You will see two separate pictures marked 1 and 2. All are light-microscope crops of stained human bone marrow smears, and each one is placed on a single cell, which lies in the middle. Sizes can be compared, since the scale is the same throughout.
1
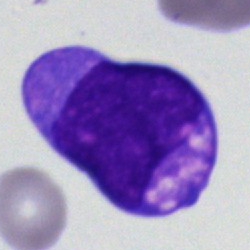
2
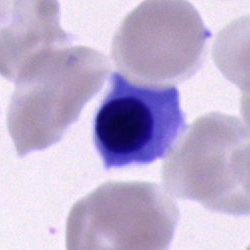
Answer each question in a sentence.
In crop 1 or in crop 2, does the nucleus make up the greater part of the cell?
The nucleus fills more of the cell in crop 1 than in crop 2.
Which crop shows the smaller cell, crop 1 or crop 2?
Smaller is the cell in crop 2, and the other is about 4 times as large in area.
